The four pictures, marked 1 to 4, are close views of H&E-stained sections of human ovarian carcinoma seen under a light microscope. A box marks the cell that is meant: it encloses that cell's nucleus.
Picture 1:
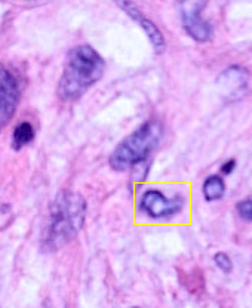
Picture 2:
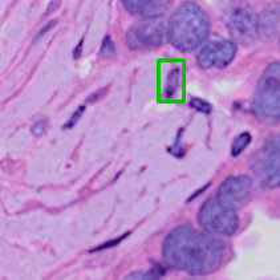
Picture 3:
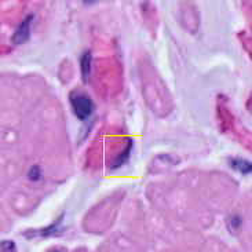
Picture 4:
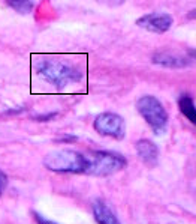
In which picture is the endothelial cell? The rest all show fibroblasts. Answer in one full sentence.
Picture 3 shows the endothelial cell.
